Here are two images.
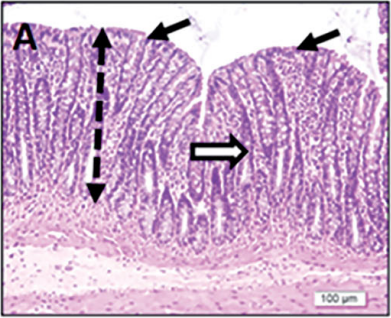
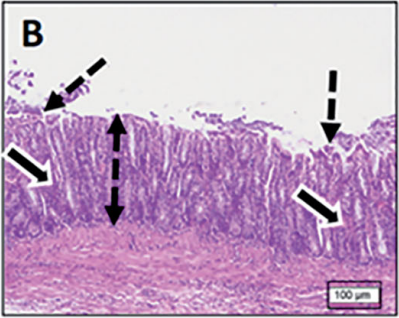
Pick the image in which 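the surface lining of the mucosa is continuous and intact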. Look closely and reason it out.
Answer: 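The first image. Second image: the luminal edge is ragged with detached fragments above it. First image: the luminal edge is smooth and unbroken.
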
